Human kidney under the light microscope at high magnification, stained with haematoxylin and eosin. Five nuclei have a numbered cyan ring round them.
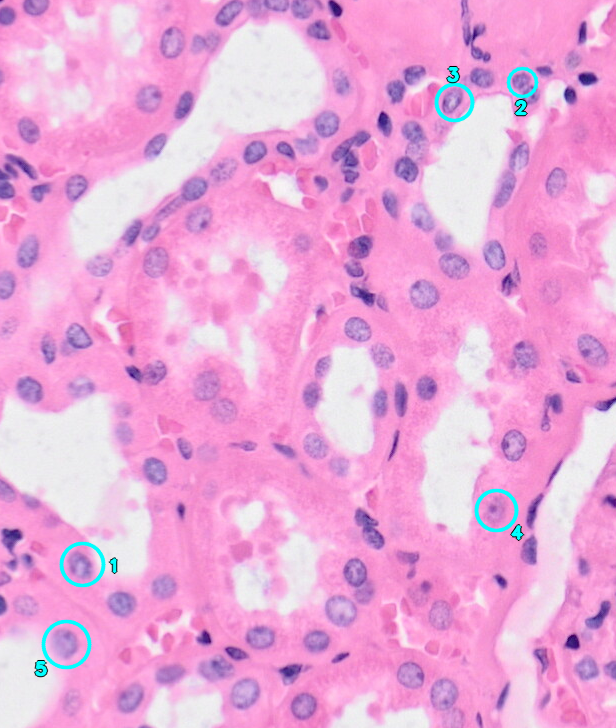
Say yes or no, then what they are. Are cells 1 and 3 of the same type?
No, hold on, cell 1 is a loop of Henle or distal tubule cell and cell 3 is a collecting duct cell.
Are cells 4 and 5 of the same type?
No, cell 4 is a proximal tubule cell and cell 5, for its part, is a loop of Henle or distal tubule cell.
